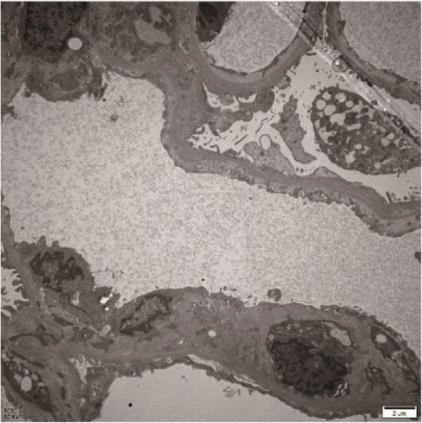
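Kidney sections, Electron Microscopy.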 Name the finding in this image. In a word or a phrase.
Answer: Widening of partial subendothelial spaces.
